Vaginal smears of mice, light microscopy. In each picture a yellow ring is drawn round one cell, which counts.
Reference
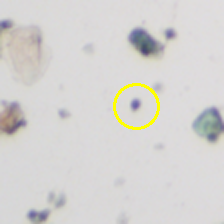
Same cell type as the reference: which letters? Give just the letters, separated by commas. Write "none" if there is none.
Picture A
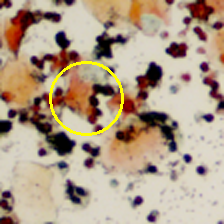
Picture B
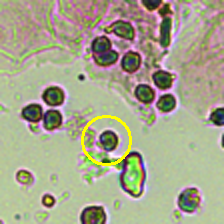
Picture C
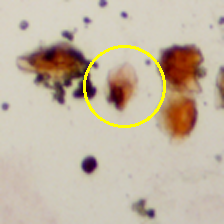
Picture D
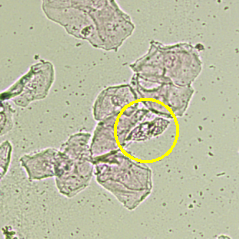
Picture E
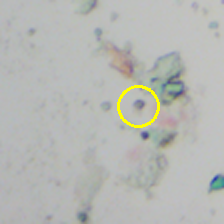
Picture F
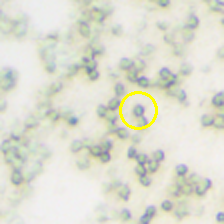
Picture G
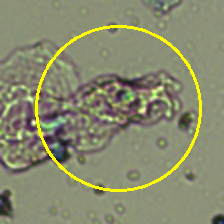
B, E, F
